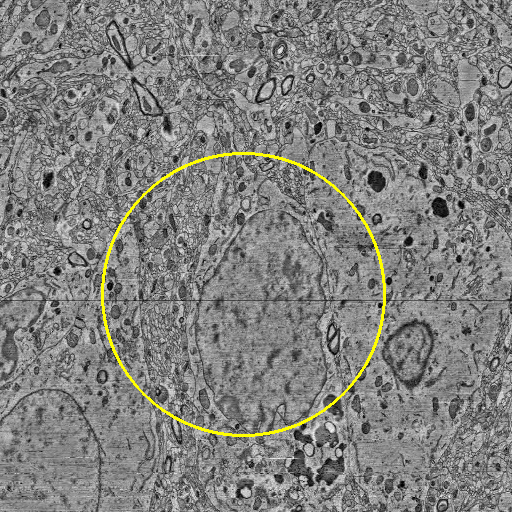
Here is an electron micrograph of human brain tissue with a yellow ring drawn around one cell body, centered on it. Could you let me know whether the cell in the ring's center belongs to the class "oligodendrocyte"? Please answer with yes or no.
no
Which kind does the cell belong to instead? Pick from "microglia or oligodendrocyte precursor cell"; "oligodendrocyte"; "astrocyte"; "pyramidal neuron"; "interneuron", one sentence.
So the cell at the centre is an interneuron.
